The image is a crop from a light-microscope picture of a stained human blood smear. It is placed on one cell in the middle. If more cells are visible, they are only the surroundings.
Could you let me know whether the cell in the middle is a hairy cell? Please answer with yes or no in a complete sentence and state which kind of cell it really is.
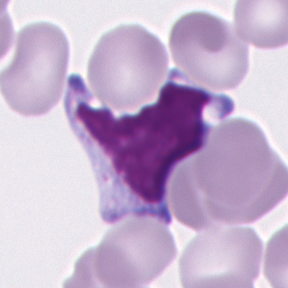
No, the central cell does not represent a hairy cell, but a large granular lymphocyte.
